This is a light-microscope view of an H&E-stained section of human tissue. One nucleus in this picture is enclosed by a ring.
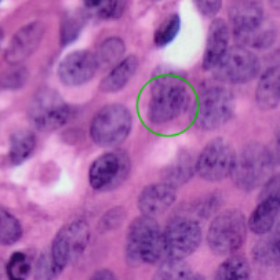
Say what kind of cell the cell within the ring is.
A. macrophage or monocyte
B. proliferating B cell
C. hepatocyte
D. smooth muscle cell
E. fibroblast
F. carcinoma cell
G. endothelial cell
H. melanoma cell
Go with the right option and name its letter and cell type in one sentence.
It is correct to say that the cell within the ring is a carcinoma cell, as option F does.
